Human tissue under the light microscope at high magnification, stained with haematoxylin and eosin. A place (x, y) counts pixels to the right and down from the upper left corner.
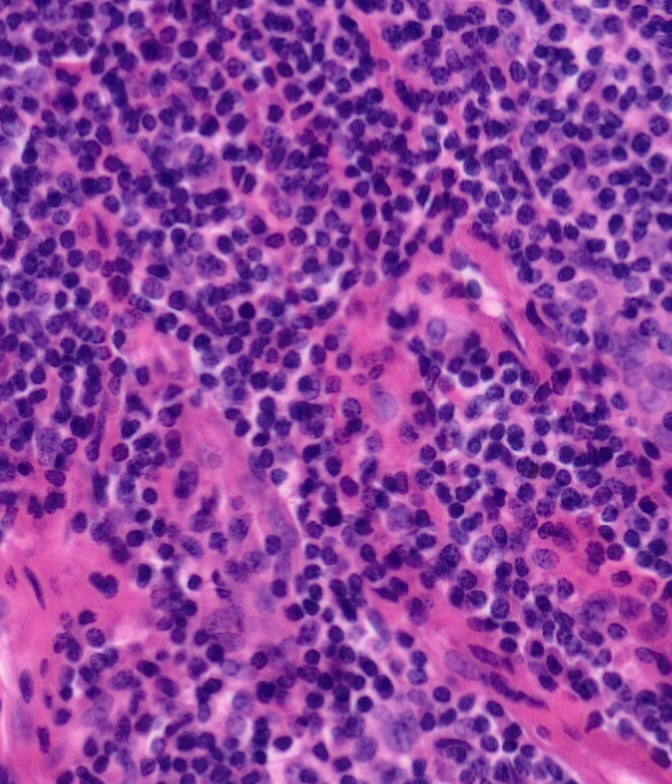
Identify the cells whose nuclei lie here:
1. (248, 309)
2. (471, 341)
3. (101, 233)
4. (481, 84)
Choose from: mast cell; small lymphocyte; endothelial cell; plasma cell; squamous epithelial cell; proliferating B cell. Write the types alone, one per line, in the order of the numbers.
small lymphocyte
endothelial cell
endothelial cell
small lymphocyte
